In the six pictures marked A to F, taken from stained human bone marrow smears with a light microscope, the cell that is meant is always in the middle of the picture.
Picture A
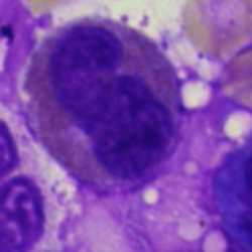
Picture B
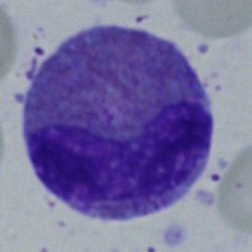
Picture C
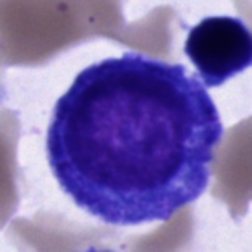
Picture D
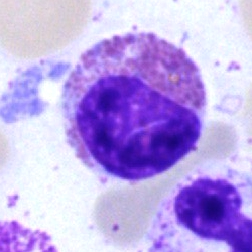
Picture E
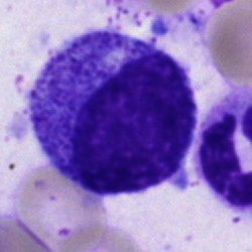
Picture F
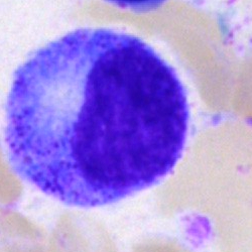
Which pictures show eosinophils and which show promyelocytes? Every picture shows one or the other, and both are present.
A: eosinophil
B: eosinophil
C: promyelocyte
D: eosinophil
E: promyelocyte
F: promyelocyte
